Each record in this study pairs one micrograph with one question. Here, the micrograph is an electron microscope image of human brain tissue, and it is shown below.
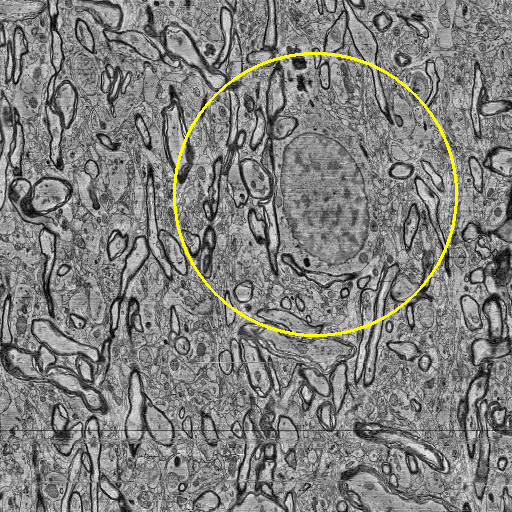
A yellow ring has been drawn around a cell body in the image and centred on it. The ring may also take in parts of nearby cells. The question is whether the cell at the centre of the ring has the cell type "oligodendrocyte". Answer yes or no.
yes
